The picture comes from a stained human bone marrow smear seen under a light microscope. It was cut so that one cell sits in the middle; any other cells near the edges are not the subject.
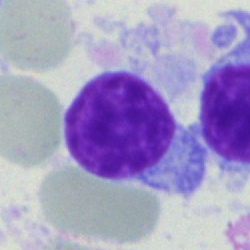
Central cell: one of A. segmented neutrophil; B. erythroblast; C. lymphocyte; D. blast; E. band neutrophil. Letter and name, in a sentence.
Option C, which names the central cell as a lymphocyte, is correct.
